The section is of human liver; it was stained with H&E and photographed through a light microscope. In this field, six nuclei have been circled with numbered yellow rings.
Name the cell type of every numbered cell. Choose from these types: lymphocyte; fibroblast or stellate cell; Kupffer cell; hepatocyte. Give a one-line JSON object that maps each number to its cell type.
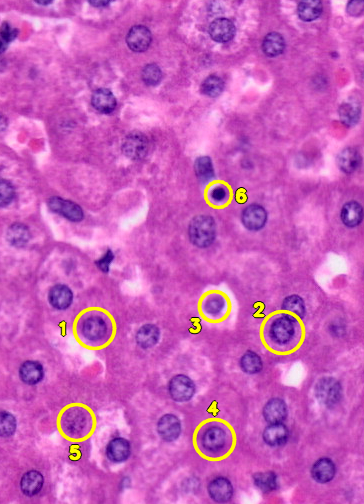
{"1": "hepatocyte", "2": "hepatocyte", "3": "Kupffer cell", "4": "hepatocyte", "5": "hepatocyte", "6": "lymphocyte"}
